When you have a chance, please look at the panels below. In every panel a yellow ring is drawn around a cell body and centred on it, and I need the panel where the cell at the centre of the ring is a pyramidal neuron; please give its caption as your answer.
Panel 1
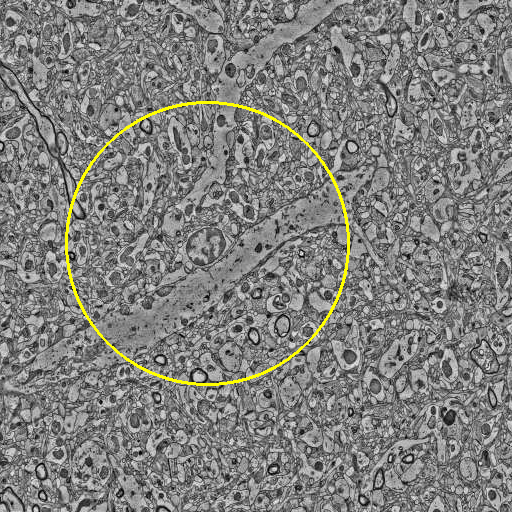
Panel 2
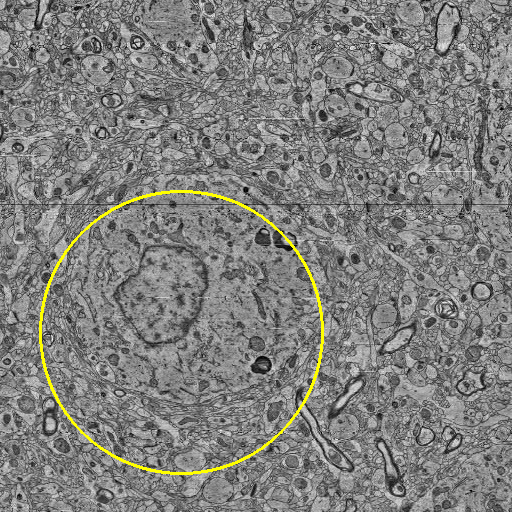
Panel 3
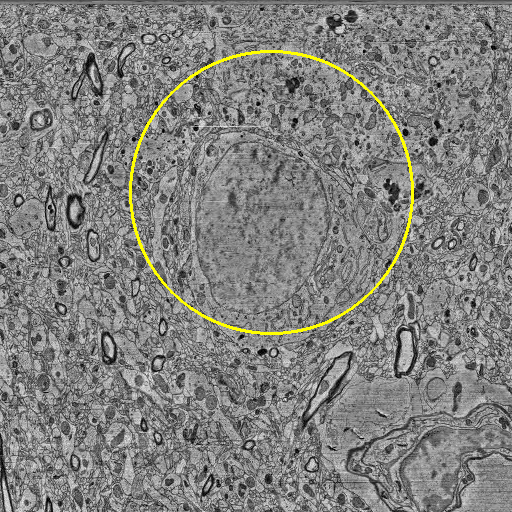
Panel 2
